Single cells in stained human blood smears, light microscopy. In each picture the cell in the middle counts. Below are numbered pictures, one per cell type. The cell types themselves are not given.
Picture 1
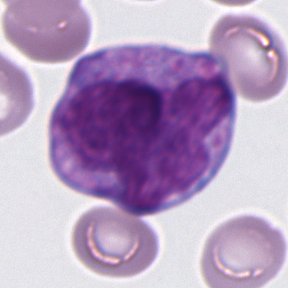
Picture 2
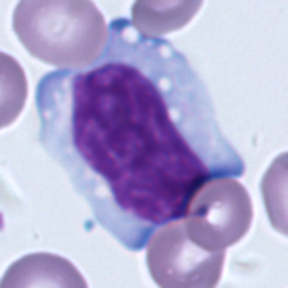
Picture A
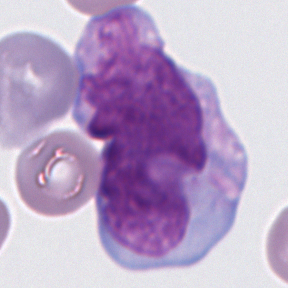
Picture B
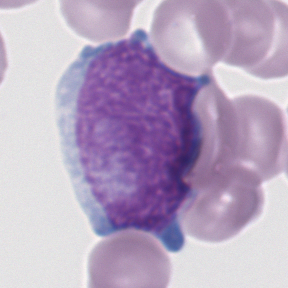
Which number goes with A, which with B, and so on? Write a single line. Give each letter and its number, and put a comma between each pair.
A 1, B 2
